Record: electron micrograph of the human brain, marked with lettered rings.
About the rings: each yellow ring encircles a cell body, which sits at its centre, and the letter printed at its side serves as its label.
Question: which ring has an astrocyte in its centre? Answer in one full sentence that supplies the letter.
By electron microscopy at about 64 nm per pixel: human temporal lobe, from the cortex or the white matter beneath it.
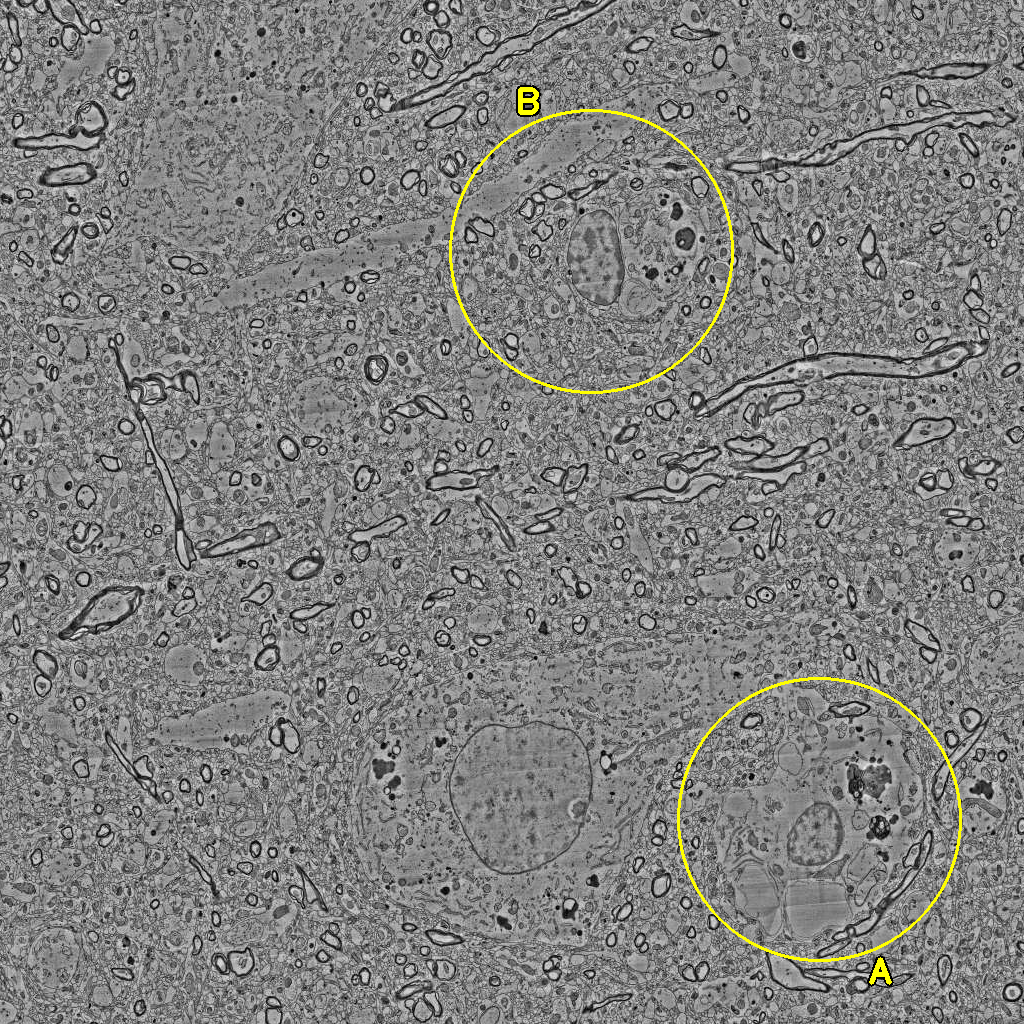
Within the picture, a cell of that kind is centred inside the ring marked A.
